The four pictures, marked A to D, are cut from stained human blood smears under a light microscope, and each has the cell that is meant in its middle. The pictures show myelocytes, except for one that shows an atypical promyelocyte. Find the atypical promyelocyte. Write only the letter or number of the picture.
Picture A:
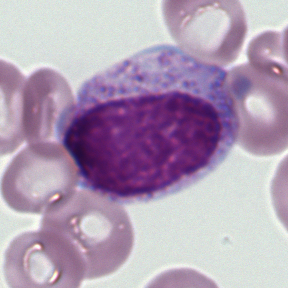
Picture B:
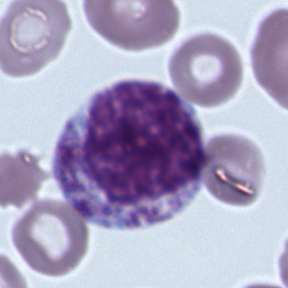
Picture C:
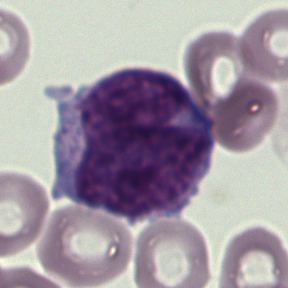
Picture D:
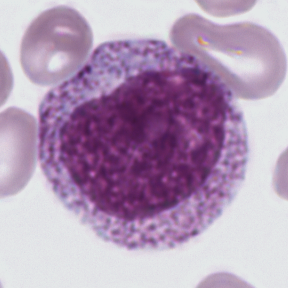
C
